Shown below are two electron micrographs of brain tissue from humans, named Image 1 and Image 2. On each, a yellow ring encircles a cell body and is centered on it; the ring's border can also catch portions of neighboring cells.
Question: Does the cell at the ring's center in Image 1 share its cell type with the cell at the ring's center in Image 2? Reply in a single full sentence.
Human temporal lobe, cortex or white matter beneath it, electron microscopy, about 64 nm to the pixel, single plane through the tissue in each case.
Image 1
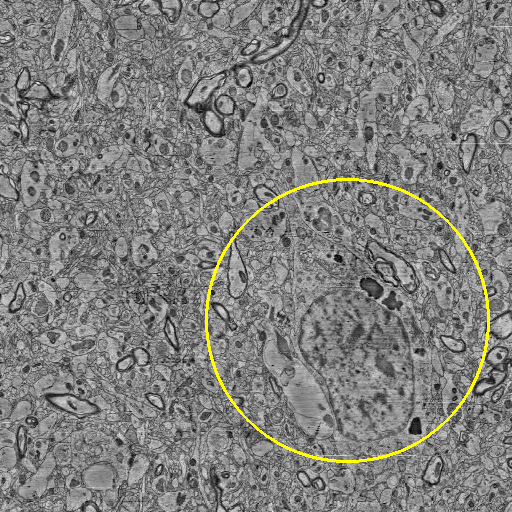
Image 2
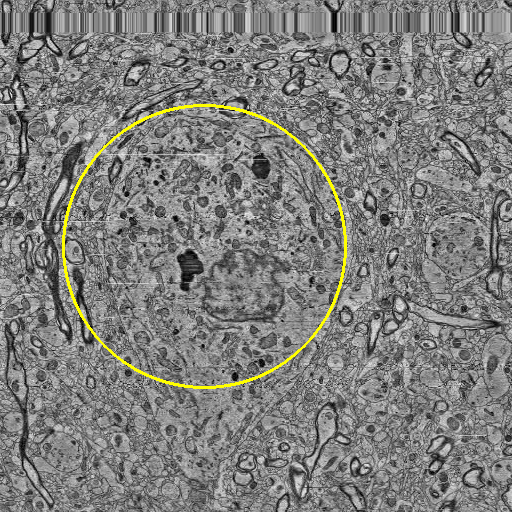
Yes, the two cells at the ring centers, in Image 1 and Image 2, share one cell type.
